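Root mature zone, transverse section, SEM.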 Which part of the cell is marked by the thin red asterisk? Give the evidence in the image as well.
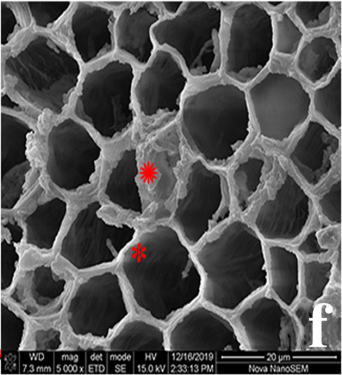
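The mark sits on a wall between neighbouring polygonal cells.
Conclusion: cell wall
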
